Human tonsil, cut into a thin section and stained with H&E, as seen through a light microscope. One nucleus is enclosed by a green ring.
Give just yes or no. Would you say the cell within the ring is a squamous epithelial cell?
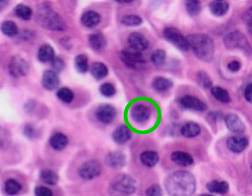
no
